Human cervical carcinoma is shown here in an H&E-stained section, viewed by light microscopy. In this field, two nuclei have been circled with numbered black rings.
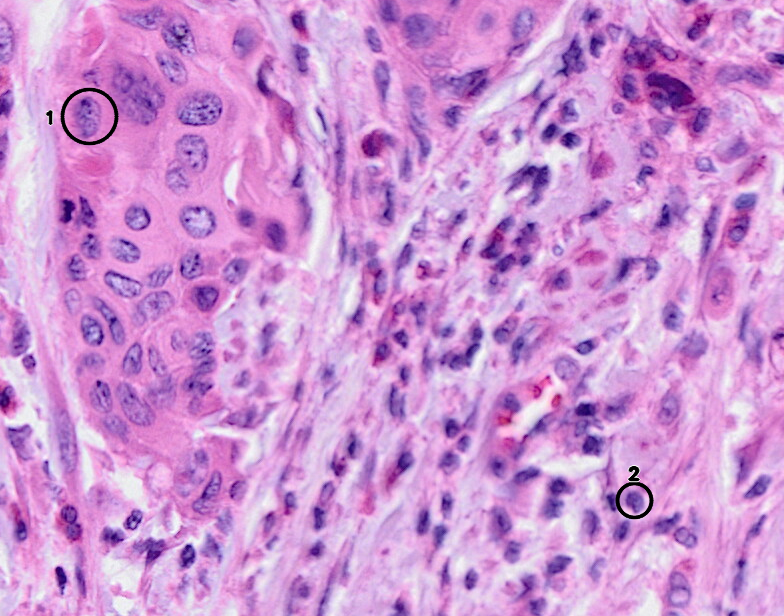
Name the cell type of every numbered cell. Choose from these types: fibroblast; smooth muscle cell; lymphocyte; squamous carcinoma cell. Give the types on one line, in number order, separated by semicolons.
squamous carcinoma cell; lymphocyte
